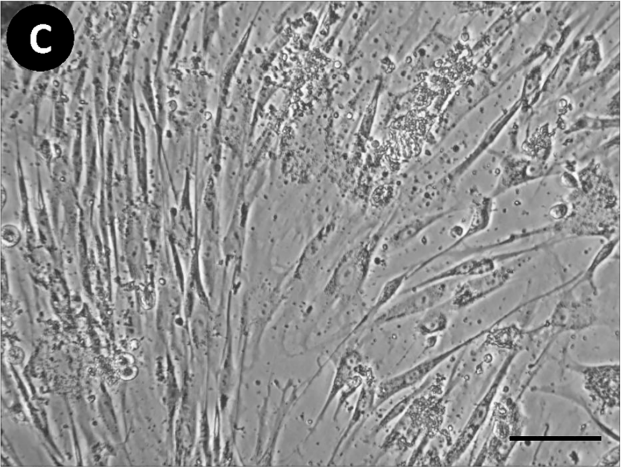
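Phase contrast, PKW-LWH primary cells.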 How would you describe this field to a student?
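Fibroblast cells grow attached to the culture surface, with an elongated, spindle shaped form and long tapering processes at both ends. The cells lie loosely, many roughly parallel, with oval nuclei in their middle and thin, pale cytoplasm spreading along their length. Between and over the cells lie clusters of small bright granular debris, and some rounded cells stand out with bright halos.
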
